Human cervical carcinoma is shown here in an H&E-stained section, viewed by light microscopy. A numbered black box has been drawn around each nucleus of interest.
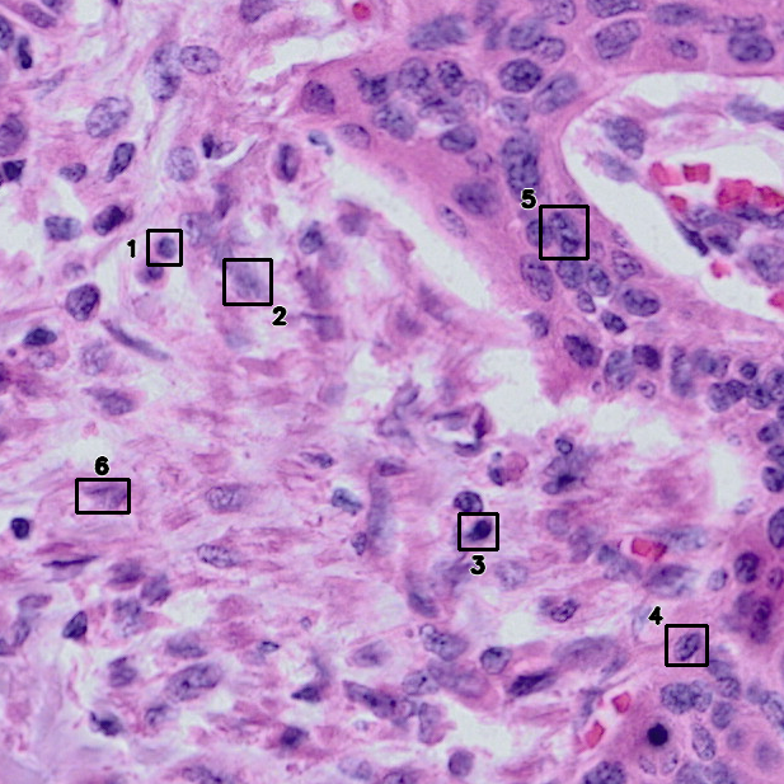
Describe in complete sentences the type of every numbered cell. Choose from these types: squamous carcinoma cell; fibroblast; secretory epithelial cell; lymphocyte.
Cells 1 and 3 are lymphocytes. Cells 2 and 6 are fibroblasts. Cells 4 and 5 are squamous carcinoma cells.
